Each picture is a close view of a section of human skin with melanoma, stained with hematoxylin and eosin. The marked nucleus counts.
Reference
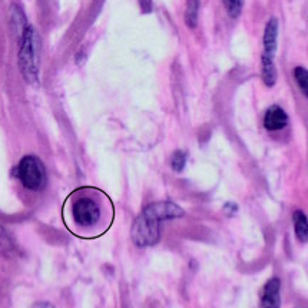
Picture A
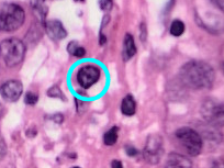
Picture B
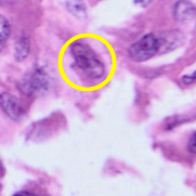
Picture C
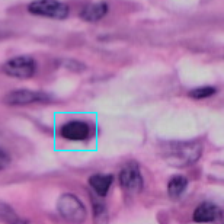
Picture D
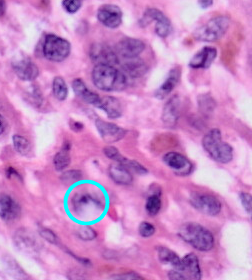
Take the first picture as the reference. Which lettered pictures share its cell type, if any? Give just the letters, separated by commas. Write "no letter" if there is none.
A, C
